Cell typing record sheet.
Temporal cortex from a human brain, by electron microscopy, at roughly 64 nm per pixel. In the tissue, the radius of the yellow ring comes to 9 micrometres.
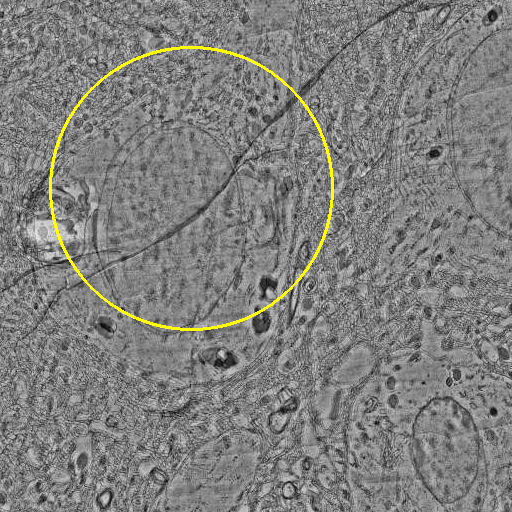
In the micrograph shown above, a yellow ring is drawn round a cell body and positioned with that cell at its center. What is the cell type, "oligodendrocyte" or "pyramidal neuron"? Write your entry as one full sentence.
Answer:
The cell body at the center of the ring belongs to a pyramidal neuron.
